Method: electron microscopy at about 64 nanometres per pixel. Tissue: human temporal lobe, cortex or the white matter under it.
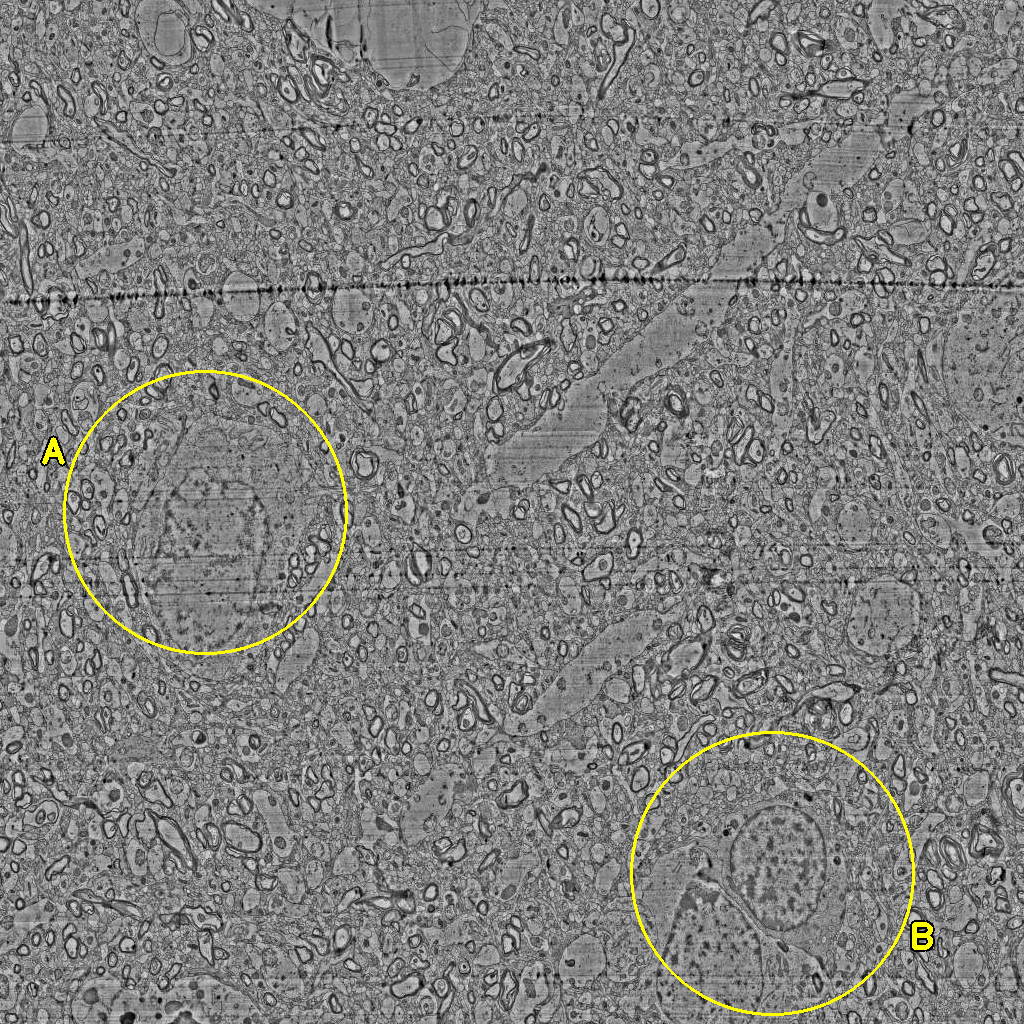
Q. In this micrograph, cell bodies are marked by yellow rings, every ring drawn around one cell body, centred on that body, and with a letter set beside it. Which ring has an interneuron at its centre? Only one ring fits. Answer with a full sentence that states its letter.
The ring lettered A surrounds the cell asked for at its centre.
